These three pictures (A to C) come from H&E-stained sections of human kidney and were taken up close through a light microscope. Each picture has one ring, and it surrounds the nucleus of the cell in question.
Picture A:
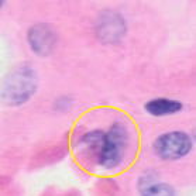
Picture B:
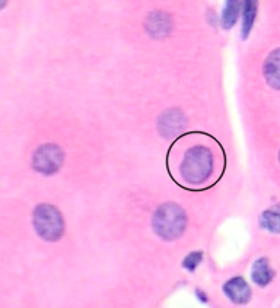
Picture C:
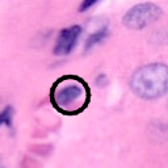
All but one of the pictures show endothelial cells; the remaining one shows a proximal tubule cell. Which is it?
B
